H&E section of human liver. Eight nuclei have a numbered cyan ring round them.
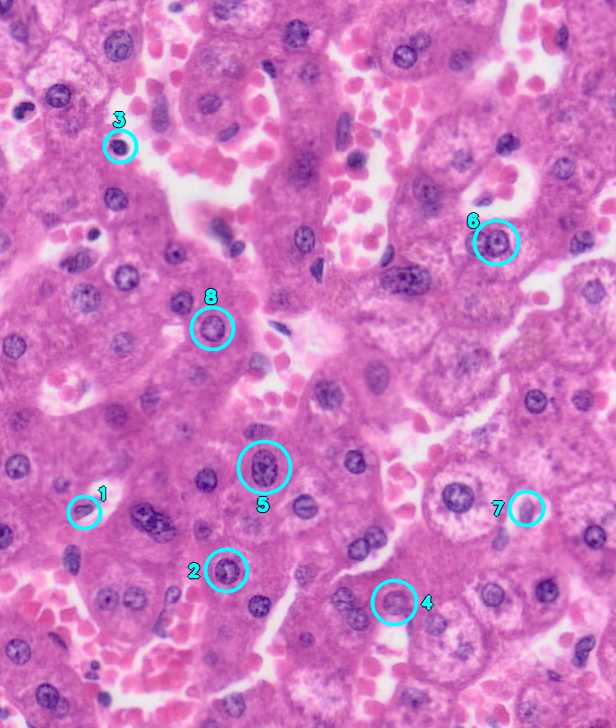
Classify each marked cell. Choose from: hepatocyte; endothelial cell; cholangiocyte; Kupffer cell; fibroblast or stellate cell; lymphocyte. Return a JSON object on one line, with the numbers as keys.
{"1": "Kupffer cell", "2": "hepatocyte", "3": "lymphocyte", "4": "hepatocyte", "5": "hepatocyte", "6": "hepatocyte", "7": "Kupffer cell", "8": "hepatocyte"}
